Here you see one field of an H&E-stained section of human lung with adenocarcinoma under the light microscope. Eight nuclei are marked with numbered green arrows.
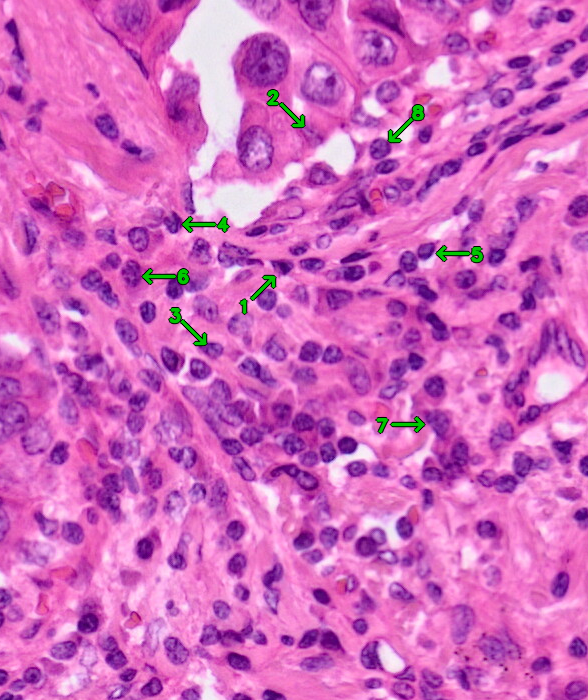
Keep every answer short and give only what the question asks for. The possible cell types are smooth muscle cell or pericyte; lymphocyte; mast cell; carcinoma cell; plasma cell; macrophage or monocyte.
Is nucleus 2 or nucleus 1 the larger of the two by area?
2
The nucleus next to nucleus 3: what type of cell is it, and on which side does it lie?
a lymphocyte, below and to the left of nucleus 3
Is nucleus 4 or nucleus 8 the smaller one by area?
4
